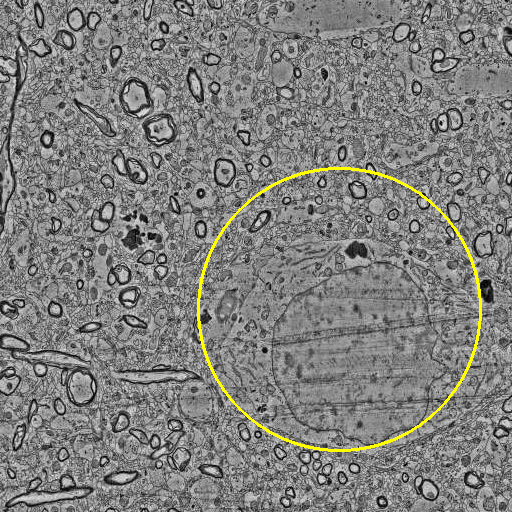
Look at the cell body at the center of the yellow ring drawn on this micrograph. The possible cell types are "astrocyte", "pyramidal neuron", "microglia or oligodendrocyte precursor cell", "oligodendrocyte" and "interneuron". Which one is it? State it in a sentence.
The cell in the middle of the ring is an interneuron.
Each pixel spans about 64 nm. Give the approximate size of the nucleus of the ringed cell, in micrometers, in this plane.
The nucleus of the ringed cell is approximately 11 micrometres across in this plane.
